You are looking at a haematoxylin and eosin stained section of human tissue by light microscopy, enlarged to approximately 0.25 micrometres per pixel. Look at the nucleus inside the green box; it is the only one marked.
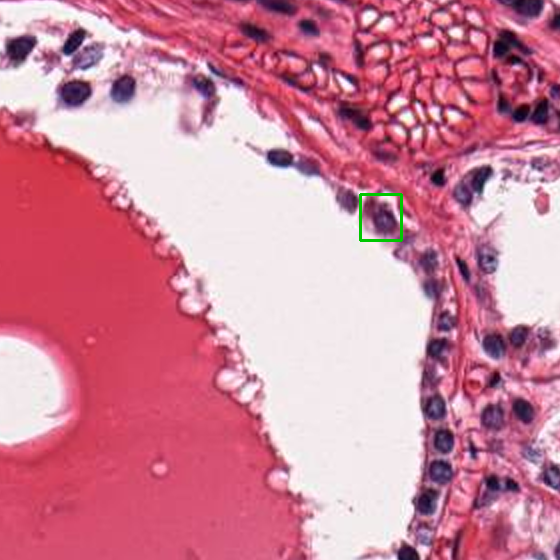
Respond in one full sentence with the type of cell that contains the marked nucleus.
The cell that the marked nucleus belongs to is a thyroid follicular cell.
